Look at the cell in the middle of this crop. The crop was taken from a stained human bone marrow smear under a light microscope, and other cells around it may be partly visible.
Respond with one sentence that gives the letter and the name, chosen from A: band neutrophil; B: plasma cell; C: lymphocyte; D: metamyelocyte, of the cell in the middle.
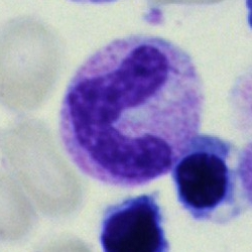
Option A correctly states that the central cell is a band neutrophil.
